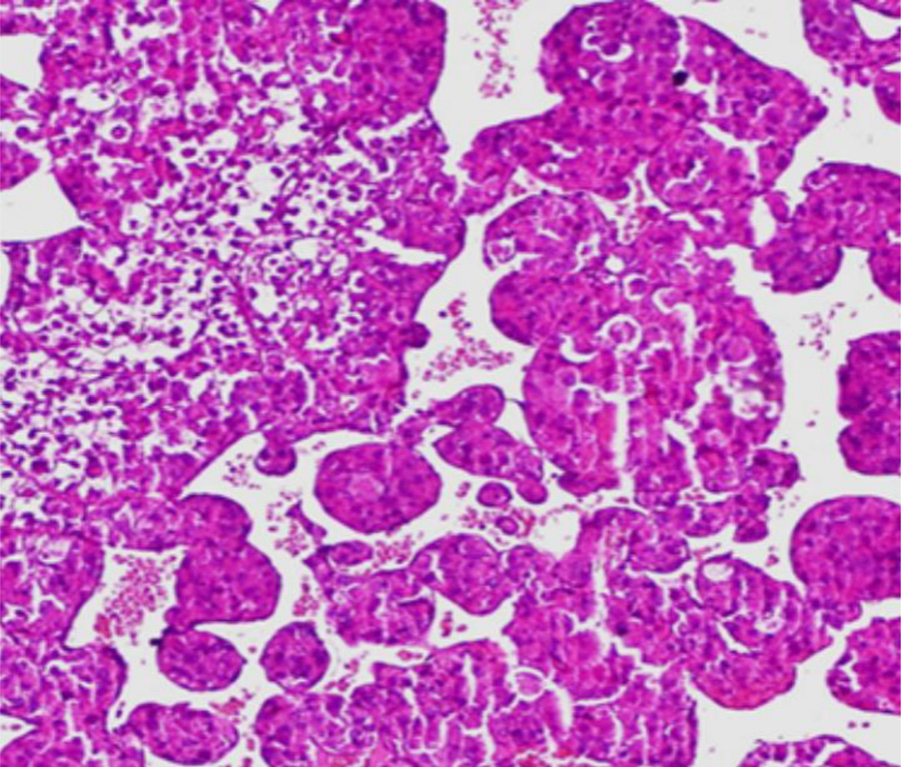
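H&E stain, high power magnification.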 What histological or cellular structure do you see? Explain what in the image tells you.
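Rounded, lobulated clusters of densely packed purple cells. Clusters are separated by clear spaces.
Hence: pseudo-alveolar patterns.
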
